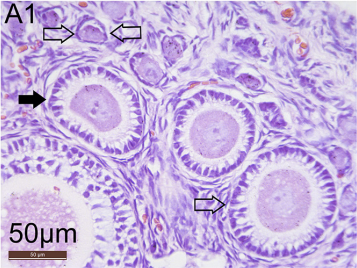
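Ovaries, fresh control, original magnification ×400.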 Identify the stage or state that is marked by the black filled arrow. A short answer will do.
Primary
